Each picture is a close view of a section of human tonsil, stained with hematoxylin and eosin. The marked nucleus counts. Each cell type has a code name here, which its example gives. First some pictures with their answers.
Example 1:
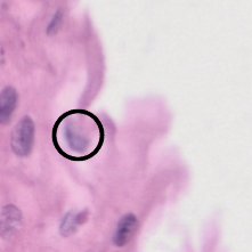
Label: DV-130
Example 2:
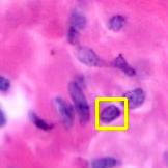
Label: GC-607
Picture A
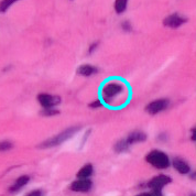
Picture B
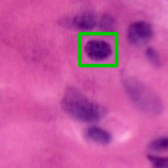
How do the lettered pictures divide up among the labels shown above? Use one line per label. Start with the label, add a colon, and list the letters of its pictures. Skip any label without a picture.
GC-607: A, B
